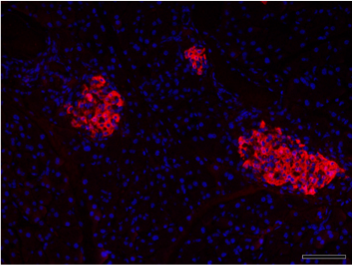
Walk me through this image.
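Pancreatic tissue with three islets whose cells are stained bright red: a large elongated islet at the right, a medium rounded one at the upper left and a small one near the top. The islet cells are densely packed, the red filling their cytoplasm with a granular, somewhat reticulated look, and blue nuclei are interspersed among them. Around the islets the tissue shows only dim background with evenly scattered small blue nuclei of the surrounding pancreatic cells. The islets are sharply delimited from this surrounding tissue.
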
